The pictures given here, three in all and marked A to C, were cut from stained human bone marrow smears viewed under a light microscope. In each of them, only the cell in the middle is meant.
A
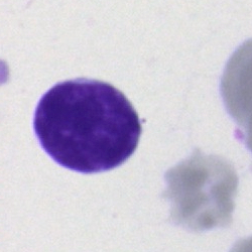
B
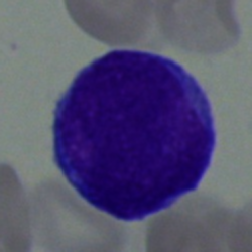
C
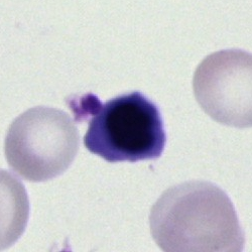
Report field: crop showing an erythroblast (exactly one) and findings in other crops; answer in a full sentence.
In this group, crop C shows an erythroblast, while crop A is a lymphocyte and crop B is a blast.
